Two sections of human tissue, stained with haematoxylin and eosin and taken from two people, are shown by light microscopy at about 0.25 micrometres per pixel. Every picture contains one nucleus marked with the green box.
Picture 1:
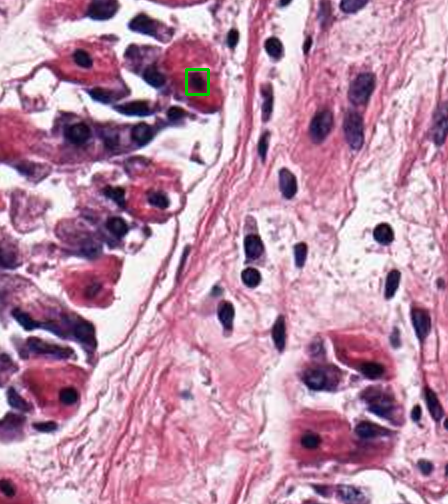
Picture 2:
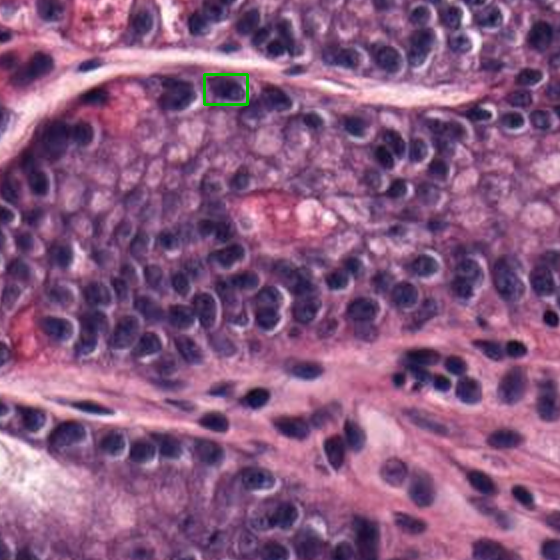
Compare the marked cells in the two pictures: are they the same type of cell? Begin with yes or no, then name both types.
No, the first is a parietal cell and the second a chief cell.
